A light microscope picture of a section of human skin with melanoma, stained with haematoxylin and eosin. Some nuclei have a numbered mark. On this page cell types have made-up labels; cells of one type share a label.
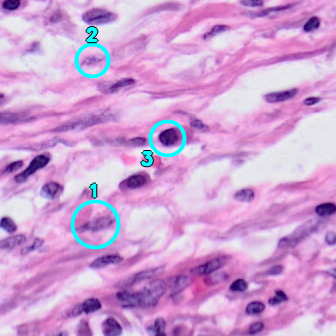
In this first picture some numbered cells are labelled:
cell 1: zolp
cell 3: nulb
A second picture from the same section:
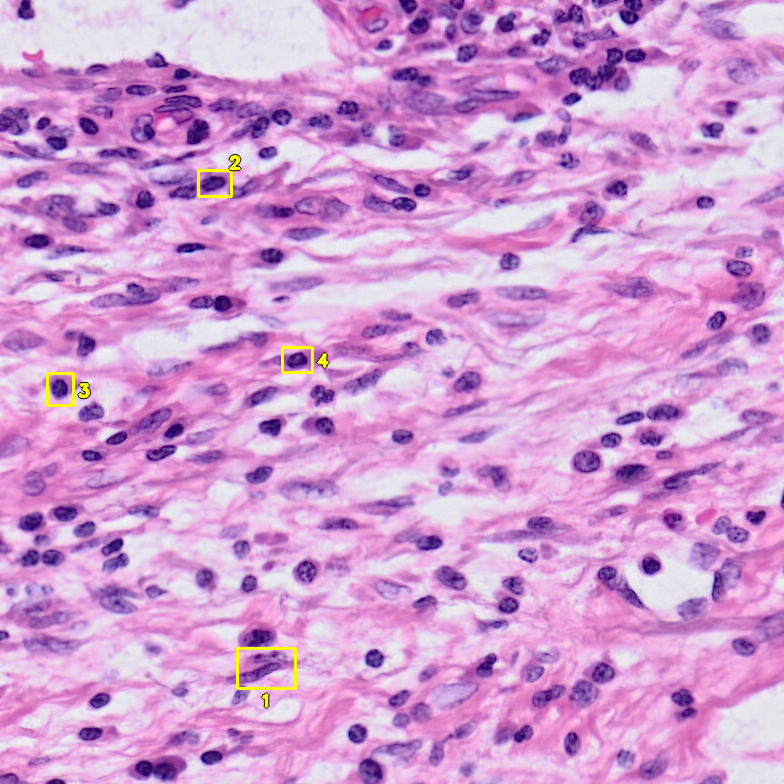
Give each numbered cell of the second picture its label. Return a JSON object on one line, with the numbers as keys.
{"1": "zolp", "2": "nulb", "3": "nulb", "4": "nulb"}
